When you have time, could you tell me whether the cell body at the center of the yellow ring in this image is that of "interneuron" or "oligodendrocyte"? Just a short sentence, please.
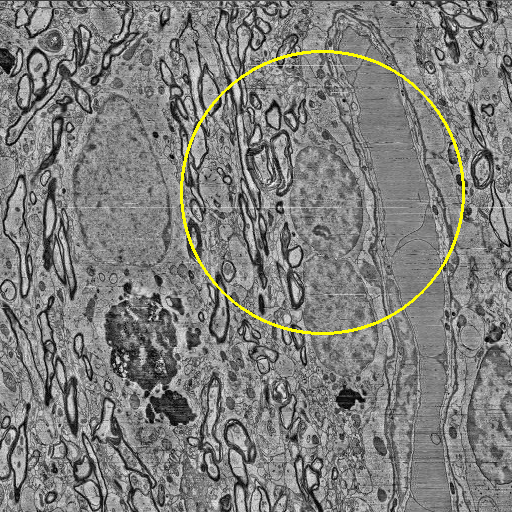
The cell body at the center of the ring is that of an oligodendrocyte.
